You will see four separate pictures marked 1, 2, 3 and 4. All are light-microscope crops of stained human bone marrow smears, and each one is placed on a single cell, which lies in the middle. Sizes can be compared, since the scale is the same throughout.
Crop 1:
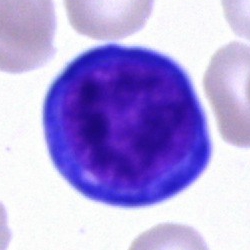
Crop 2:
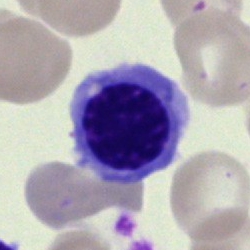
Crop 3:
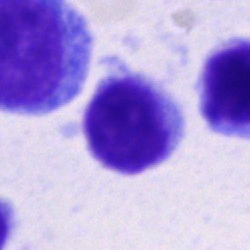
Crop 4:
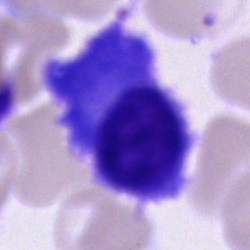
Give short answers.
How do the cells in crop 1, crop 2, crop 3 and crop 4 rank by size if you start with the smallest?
3, 2, 4, 1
